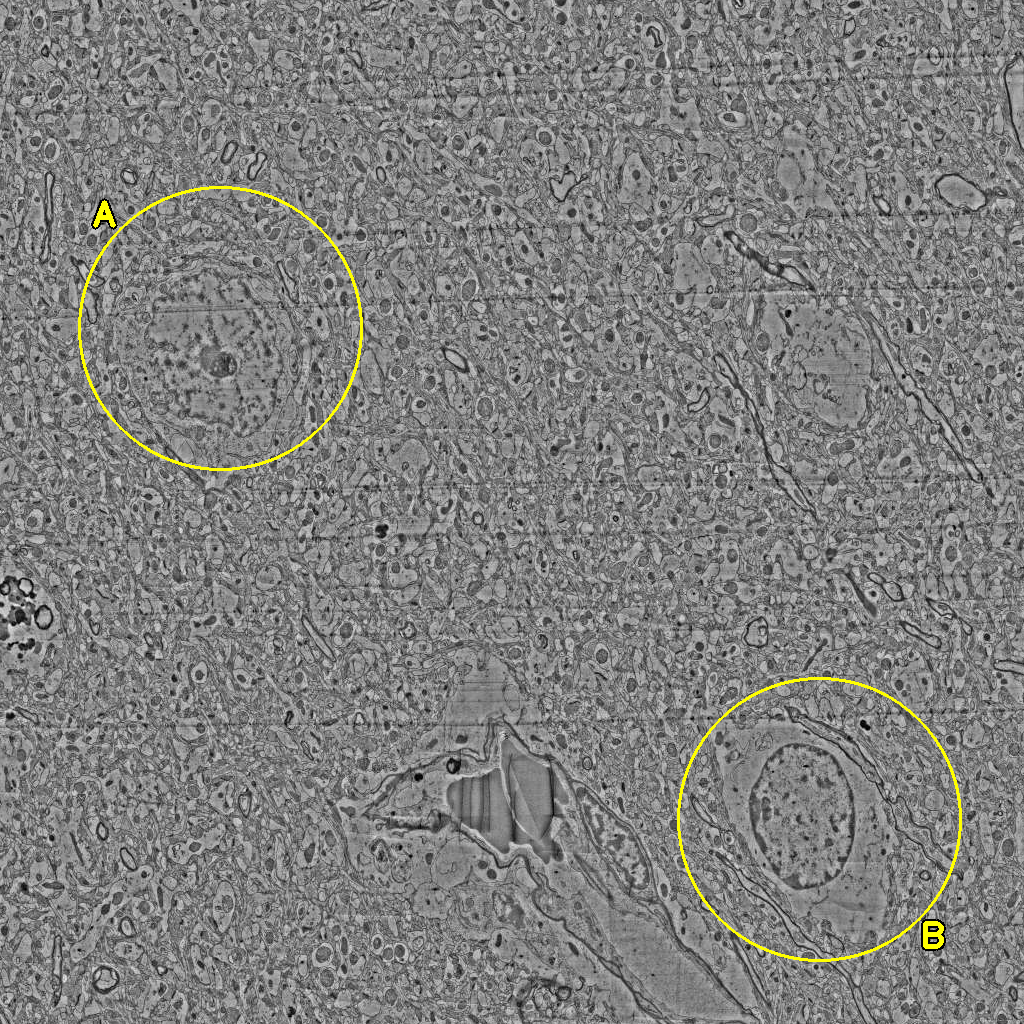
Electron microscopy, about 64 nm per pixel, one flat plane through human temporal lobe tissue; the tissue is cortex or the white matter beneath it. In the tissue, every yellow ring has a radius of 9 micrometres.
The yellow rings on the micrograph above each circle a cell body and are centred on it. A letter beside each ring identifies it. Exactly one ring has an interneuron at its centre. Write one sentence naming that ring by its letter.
Ring A is the one.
